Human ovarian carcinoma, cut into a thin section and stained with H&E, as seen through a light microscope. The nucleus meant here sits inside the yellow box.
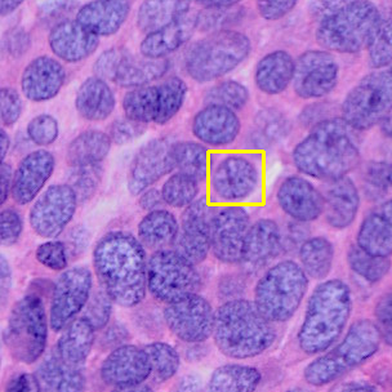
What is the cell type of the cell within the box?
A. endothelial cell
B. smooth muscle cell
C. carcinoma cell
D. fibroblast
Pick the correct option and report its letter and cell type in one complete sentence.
Option C is the correct one, since the cell within the box is a carcinoma cell.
